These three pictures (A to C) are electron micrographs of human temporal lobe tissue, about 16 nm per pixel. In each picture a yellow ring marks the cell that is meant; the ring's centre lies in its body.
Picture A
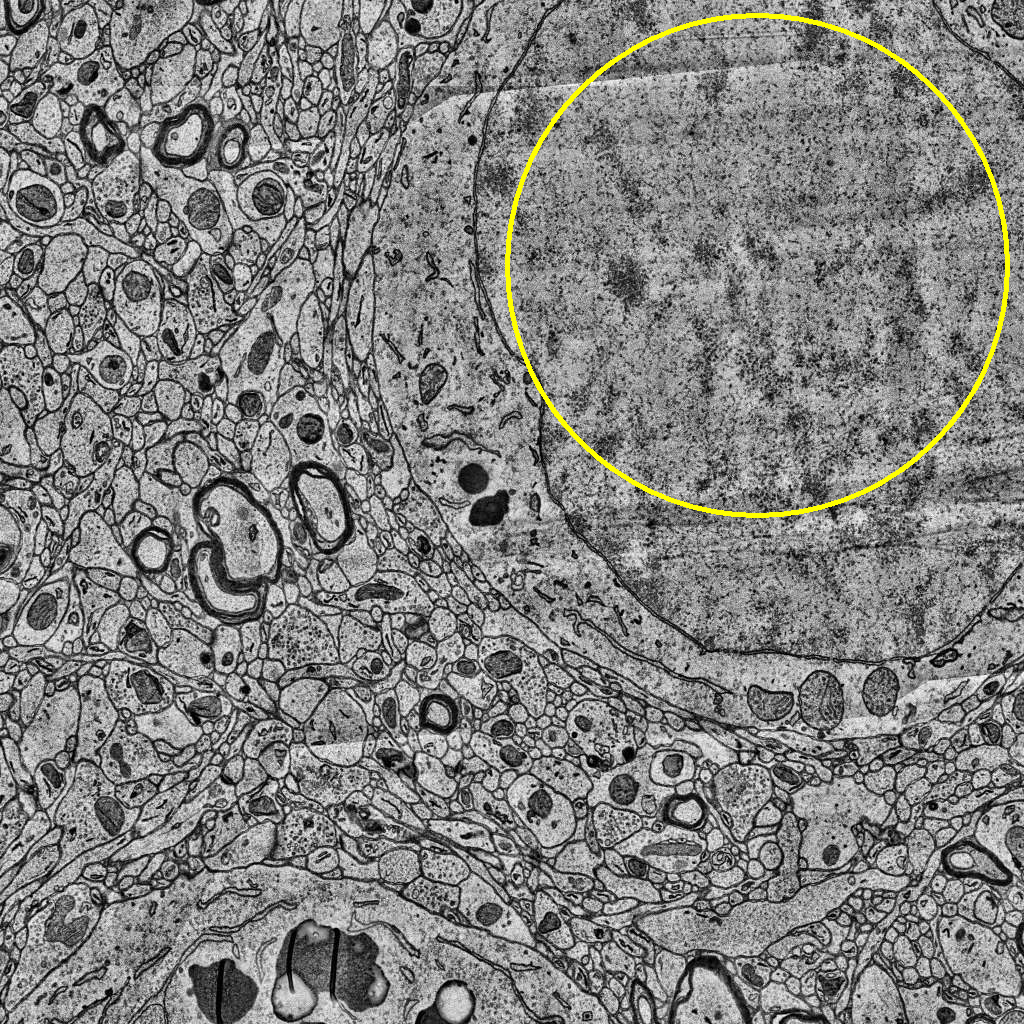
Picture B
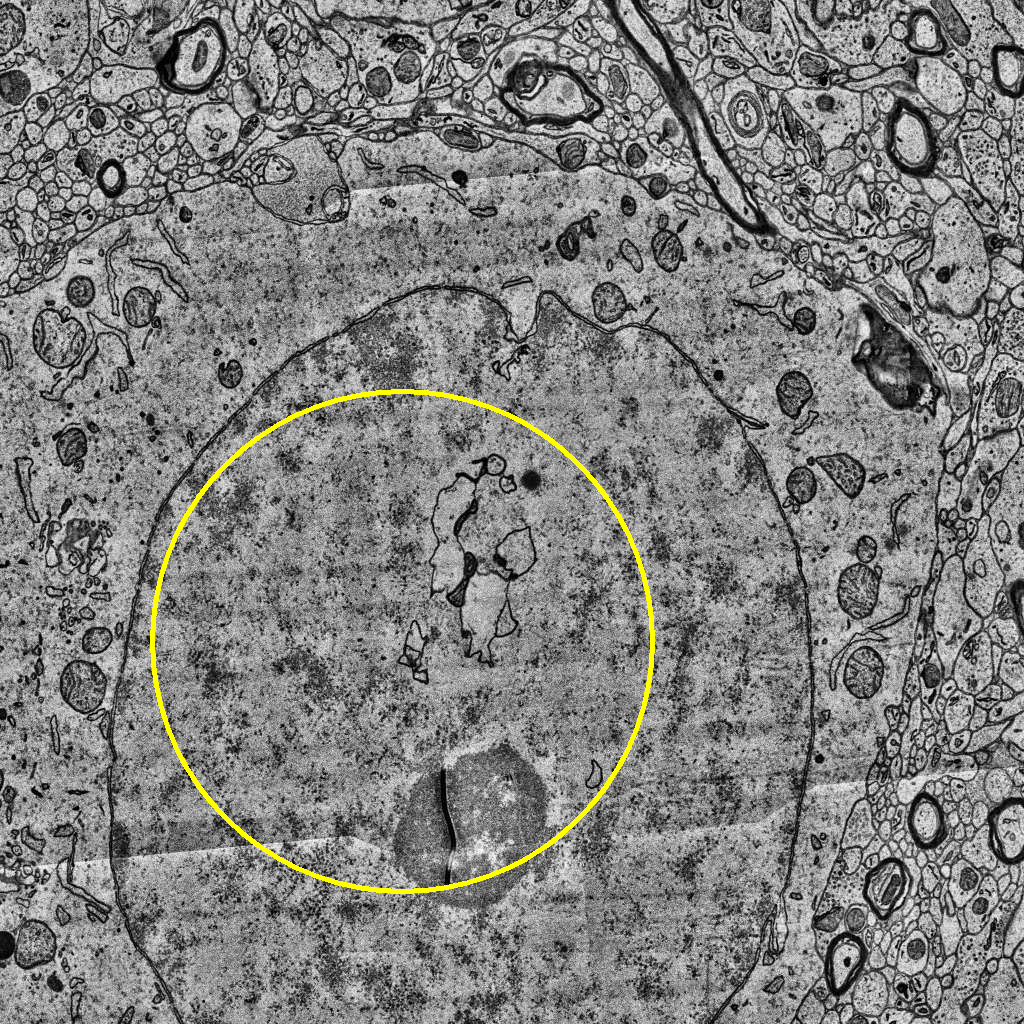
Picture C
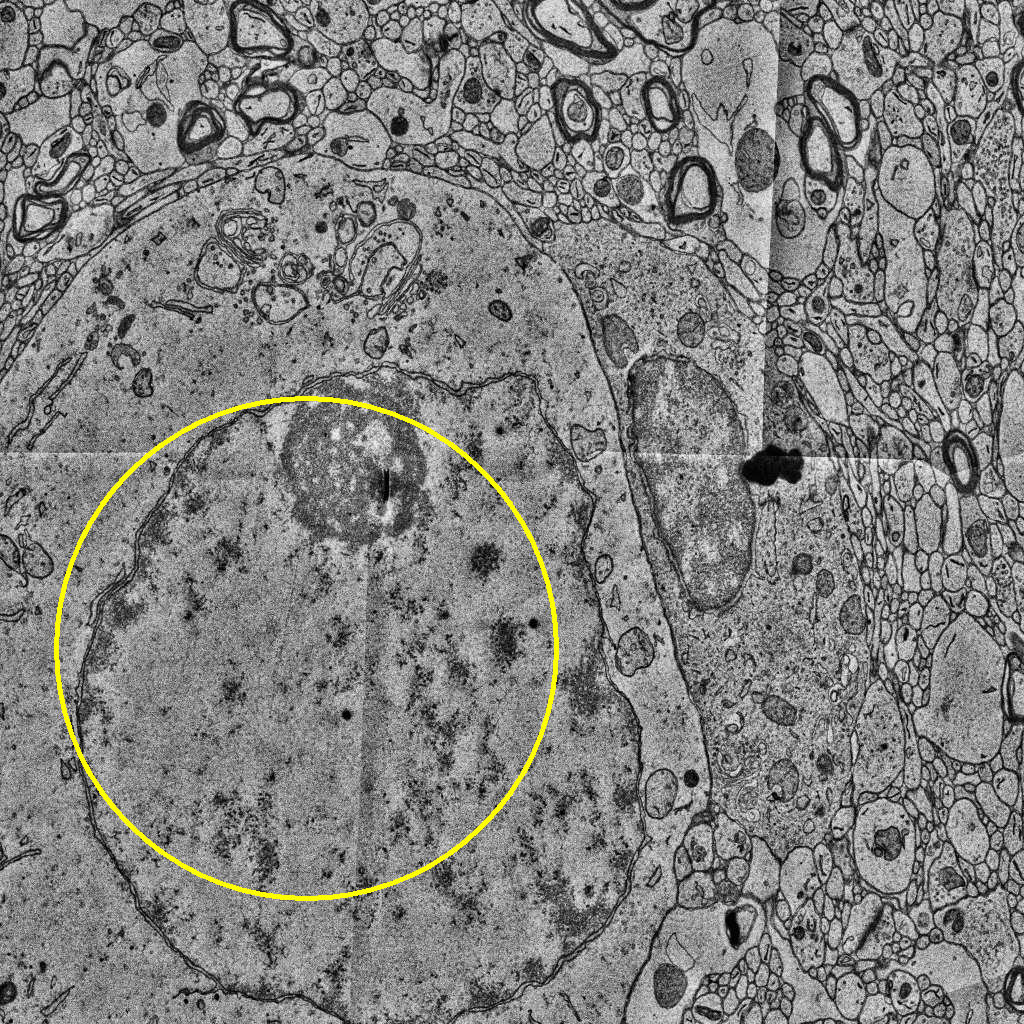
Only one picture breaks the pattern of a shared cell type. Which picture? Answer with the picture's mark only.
C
